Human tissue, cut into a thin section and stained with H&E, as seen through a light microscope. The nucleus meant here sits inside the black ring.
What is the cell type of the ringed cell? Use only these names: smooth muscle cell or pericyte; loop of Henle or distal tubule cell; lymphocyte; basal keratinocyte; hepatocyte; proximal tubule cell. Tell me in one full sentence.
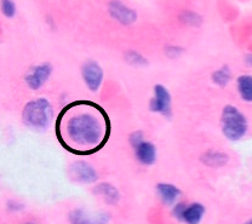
At the level of cell identity, the ringed cell is a loop of Henle or distal tubule cell.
